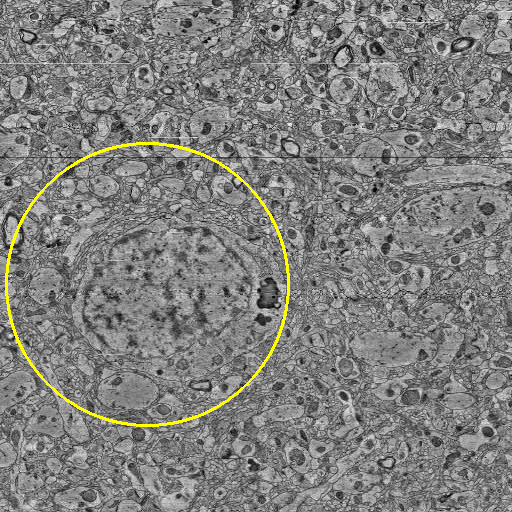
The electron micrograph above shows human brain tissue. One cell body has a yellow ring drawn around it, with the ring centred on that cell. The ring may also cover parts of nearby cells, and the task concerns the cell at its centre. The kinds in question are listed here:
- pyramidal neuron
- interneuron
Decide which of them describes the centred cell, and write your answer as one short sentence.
The centred cell is an interneuron.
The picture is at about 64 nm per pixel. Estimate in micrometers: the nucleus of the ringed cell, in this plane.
In this plane the nucleus is about 11 micrometres by 8.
